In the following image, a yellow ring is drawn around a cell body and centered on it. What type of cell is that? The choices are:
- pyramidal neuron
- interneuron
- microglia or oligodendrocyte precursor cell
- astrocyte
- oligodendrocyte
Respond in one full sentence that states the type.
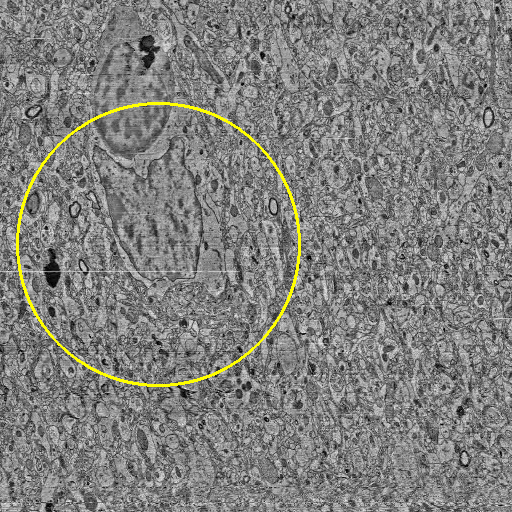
The cell at the center of the yellow ring in the image is a microglial cell or oligodendrocyte precursor cell.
